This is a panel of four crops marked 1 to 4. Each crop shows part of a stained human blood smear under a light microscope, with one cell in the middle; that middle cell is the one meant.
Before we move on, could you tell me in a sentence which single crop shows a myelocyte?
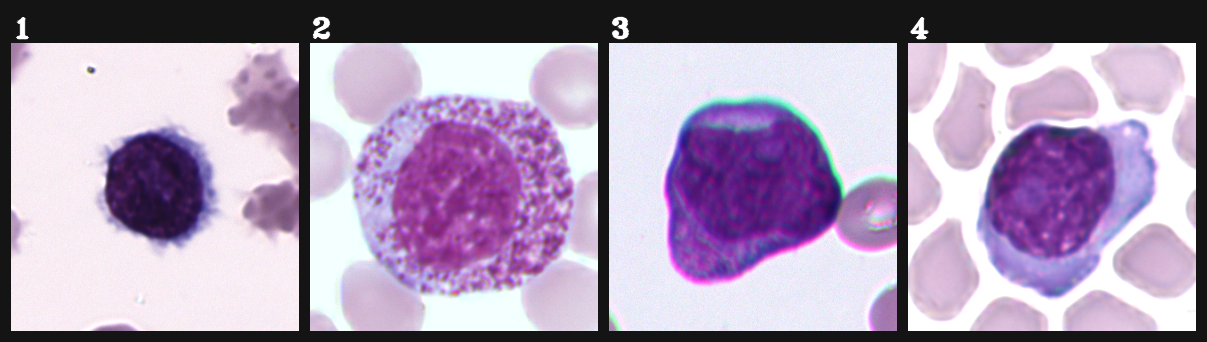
The one showing a myelocyte is the crop labelled 2.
